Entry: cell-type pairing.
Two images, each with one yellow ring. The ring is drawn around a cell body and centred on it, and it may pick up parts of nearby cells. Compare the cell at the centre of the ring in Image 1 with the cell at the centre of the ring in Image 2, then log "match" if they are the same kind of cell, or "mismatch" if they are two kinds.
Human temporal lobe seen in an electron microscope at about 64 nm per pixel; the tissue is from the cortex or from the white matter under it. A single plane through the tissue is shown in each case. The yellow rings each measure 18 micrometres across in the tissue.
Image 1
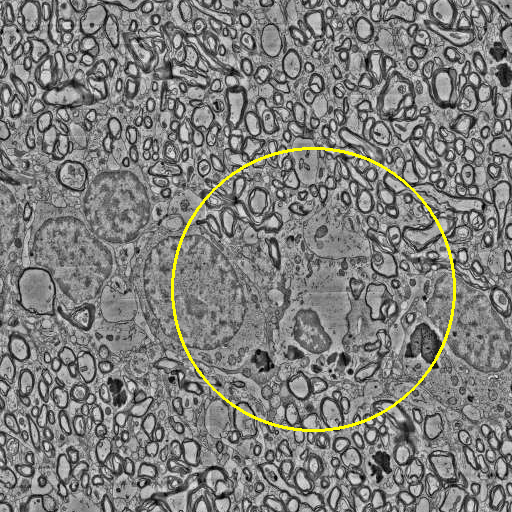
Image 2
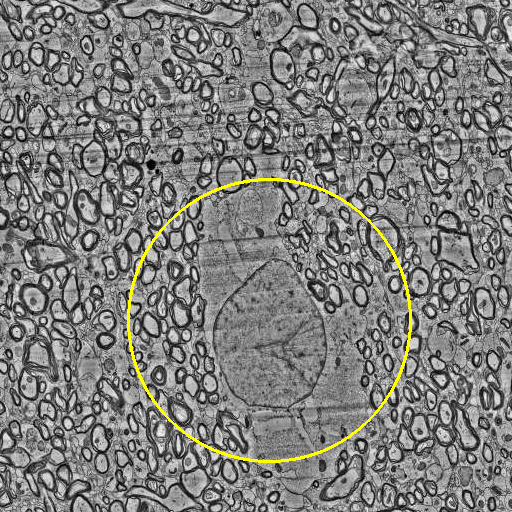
mismatch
